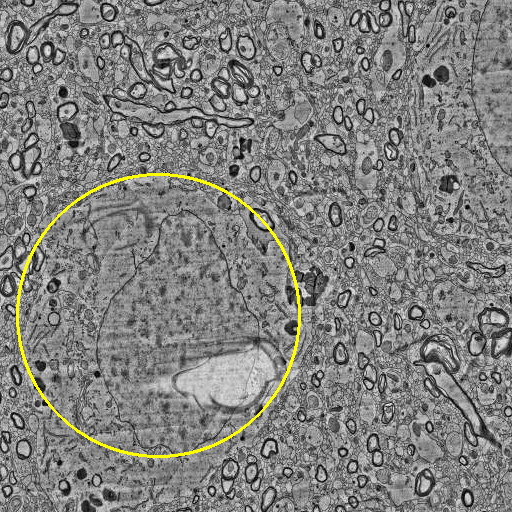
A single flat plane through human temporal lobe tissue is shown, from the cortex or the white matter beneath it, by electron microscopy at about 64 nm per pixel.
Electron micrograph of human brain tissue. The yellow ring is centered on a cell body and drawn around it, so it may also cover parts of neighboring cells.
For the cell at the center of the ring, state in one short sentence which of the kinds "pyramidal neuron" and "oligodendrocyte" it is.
This ring is centered on a pyramidal neuron.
